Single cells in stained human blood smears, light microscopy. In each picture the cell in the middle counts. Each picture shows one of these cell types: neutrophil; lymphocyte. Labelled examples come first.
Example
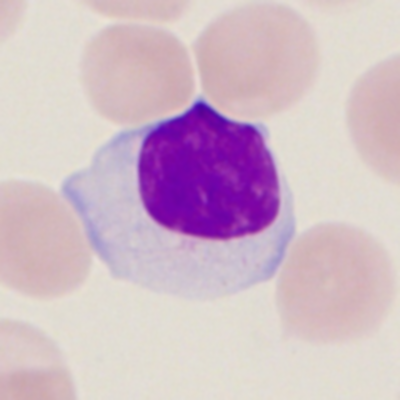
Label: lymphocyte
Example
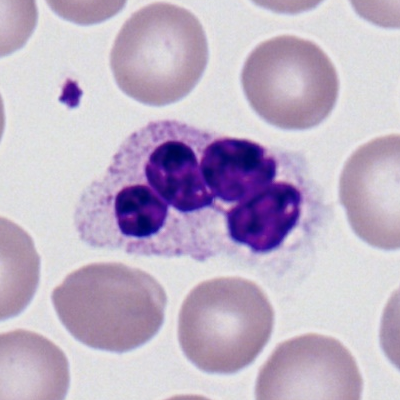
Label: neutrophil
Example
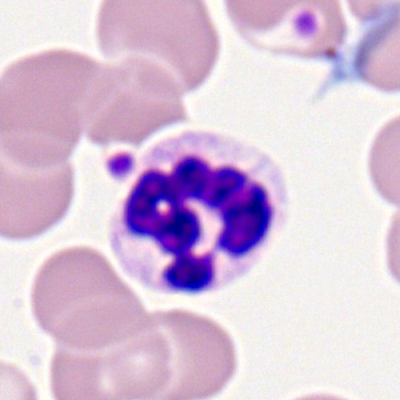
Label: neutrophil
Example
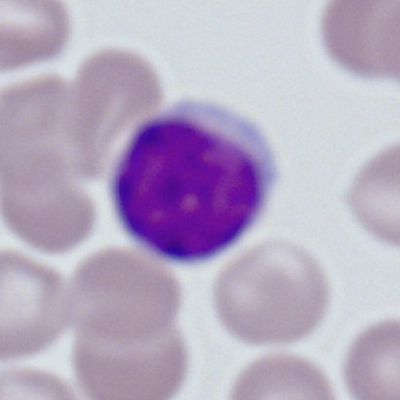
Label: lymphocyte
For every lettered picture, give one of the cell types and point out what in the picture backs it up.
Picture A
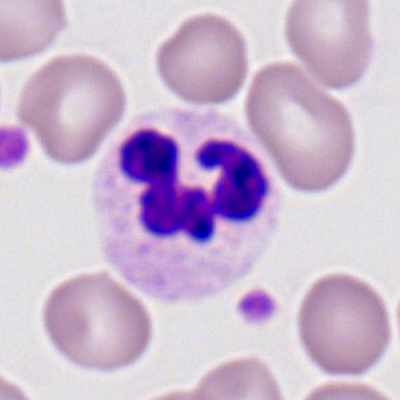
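neutrophil: The cytoplasm is abundant and pale pinkish-lilac.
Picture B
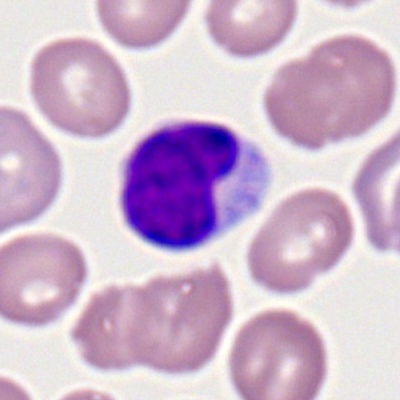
lymphocyte: The nucleus fills most of the cell.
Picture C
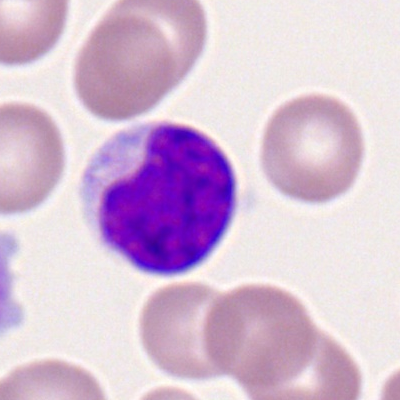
lymphocyte: The nucleus fills most of the cell.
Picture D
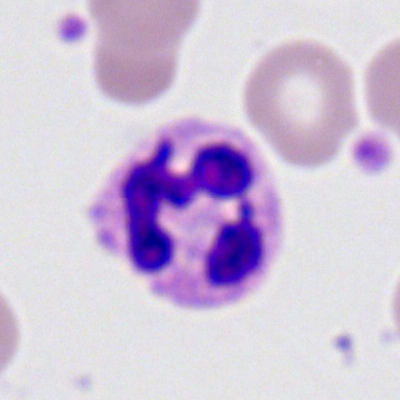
neutrophil: The cytoplasm is plentiful and pale pinkish-lilac.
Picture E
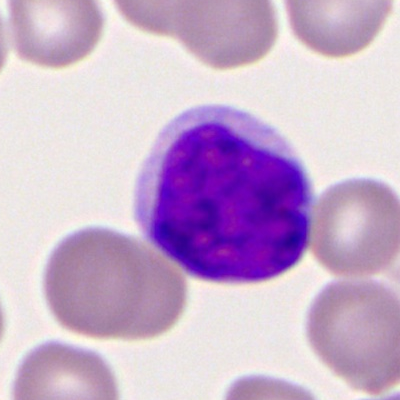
lymphocyte: The nucleus is a single unlobed mass.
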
